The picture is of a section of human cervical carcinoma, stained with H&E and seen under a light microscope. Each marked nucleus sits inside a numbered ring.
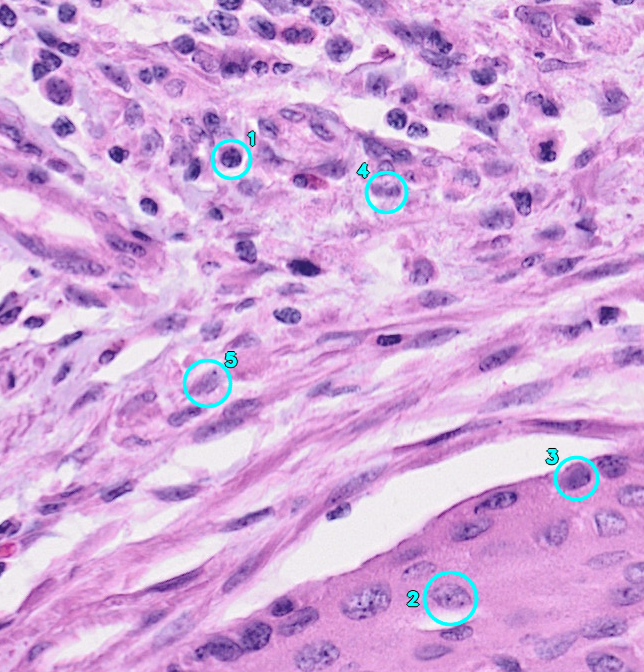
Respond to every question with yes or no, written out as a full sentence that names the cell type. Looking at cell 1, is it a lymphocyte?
Yes, the number 1 belongs to a lymphocyte.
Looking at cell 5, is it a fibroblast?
Yes, that one, number 5, is a fibroblast.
